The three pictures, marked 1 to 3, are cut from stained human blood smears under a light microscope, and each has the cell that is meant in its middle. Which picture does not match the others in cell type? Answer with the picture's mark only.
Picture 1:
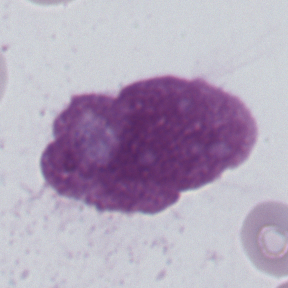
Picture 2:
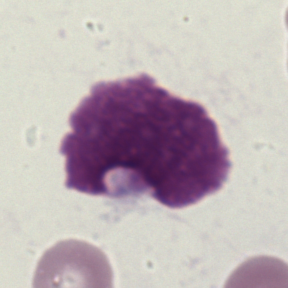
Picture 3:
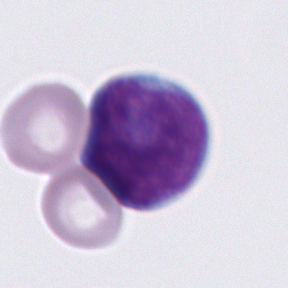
3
